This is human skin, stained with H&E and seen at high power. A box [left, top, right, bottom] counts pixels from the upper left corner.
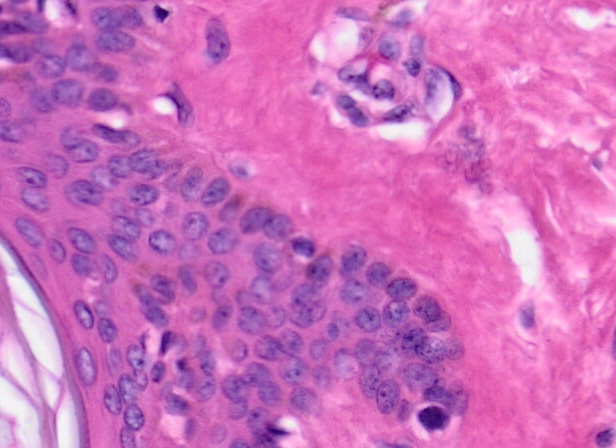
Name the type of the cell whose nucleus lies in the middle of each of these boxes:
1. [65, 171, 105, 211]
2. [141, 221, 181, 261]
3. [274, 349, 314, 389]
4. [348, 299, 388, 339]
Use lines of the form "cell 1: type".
cell 1: suprabasal keratinocyte
cell 2: suprabasal keratinocyte
cell 3: basal keratinocyte
cell 4: suprabasal keratinocyte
